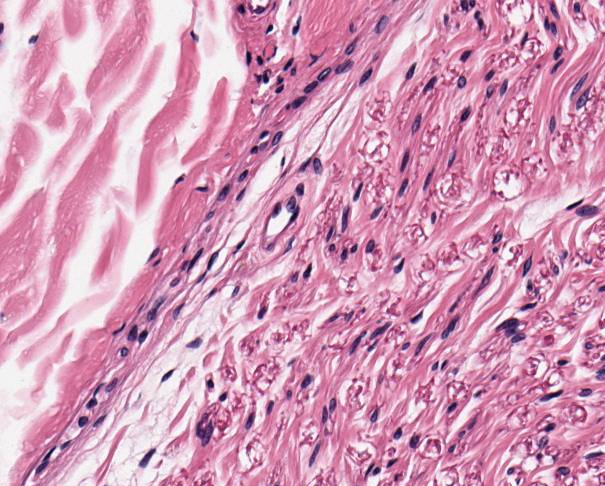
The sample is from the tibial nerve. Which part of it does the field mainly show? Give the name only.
nerve fascicle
